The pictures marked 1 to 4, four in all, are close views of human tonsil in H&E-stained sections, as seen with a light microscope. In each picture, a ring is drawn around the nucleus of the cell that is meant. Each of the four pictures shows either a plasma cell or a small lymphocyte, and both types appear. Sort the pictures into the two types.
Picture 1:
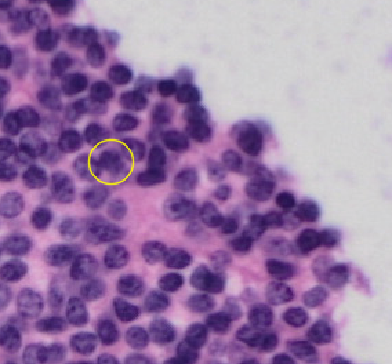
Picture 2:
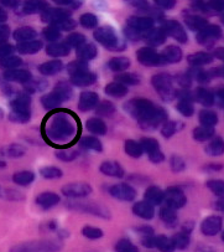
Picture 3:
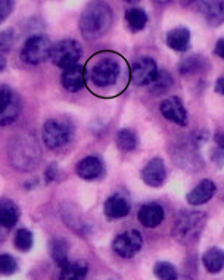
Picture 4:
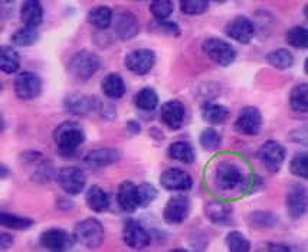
1: small lymphocyte
2: plasma cell
3: plasma cell
4: plasma cell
